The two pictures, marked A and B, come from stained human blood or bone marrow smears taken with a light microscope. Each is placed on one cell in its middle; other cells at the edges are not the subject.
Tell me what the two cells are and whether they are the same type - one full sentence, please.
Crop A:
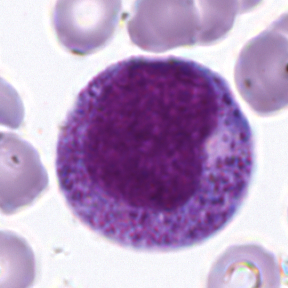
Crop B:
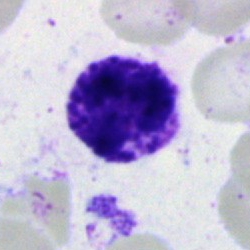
No, crop A shows a promyelocyte, with a basophil shown in crop B.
